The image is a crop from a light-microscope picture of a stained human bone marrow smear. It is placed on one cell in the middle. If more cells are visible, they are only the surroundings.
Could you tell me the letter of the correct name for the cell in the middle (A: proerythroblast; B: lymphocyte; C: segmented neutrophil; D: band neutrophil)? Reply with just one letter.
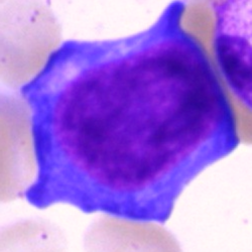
A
